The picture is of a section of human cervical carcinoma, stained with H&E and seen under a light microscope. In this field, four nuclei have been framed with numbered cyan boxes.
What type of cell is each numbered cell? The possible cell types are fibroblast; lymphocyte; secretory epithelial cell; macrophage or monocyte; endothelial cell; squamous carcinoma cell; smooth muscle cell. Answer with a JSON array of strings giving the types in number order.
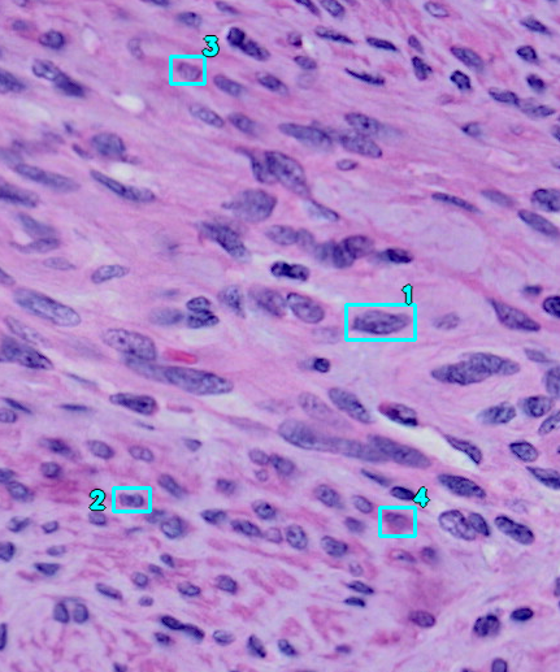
["fibroblast", "smooth muscle cell", "smooth muscle cell", "smooth muscle cell"]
